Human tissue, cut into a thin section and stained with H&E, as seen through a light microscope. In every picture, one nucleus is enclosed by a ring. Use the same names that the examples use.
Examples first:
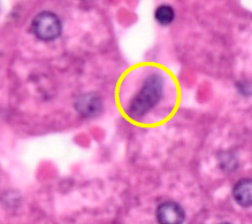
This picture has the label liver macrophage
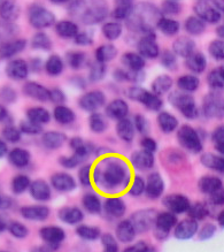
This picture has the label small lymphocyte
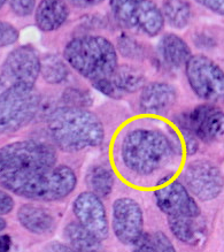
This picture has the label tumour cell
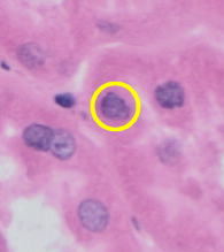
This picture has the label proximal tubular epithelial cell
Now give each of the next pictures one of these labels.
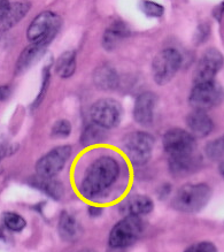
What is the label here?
tumour cell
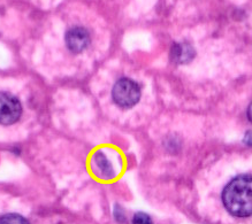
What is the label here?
liver macrophage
